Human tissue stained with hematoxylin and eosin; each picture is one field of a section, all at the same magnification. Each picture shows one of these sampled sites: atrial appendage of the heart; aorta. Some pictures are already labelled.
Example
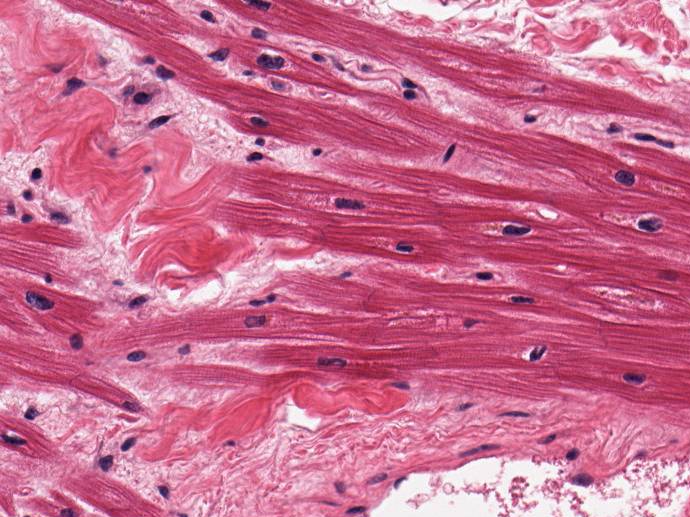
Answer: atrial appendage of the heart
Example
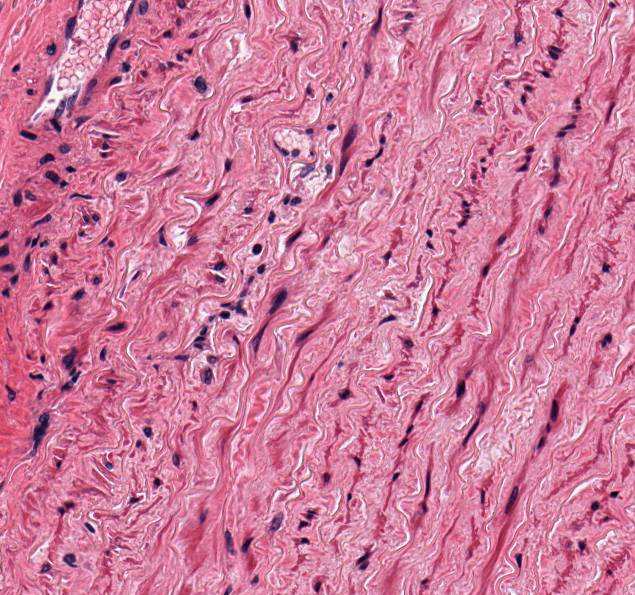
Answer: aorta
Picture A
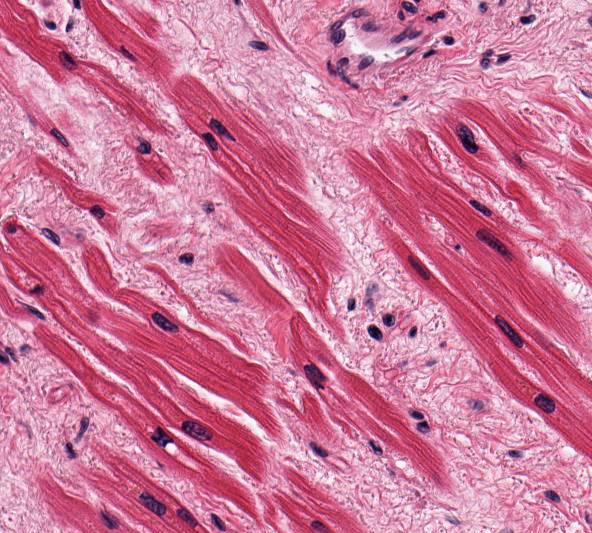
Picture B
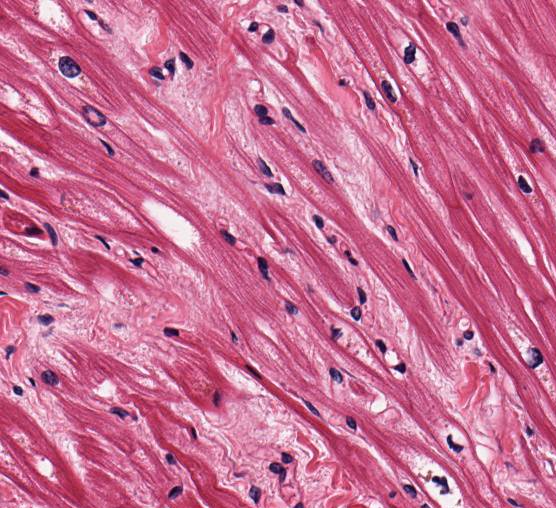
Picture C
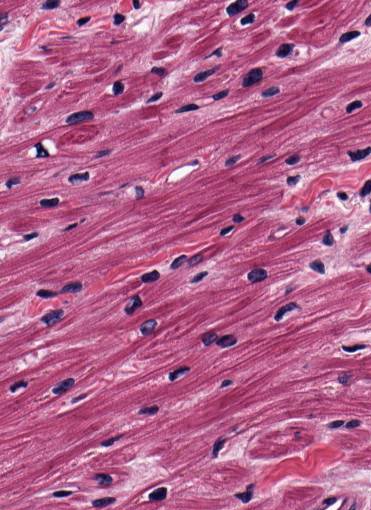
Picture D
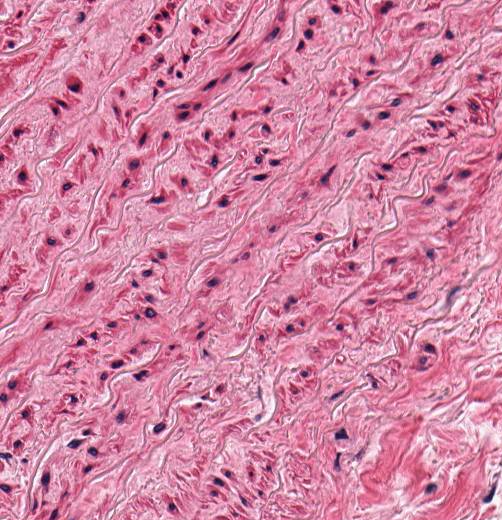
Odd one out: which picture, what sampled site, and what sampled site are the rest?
Exception: D, showing aorta. Remaining pictures: atrial appendage of the heart.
